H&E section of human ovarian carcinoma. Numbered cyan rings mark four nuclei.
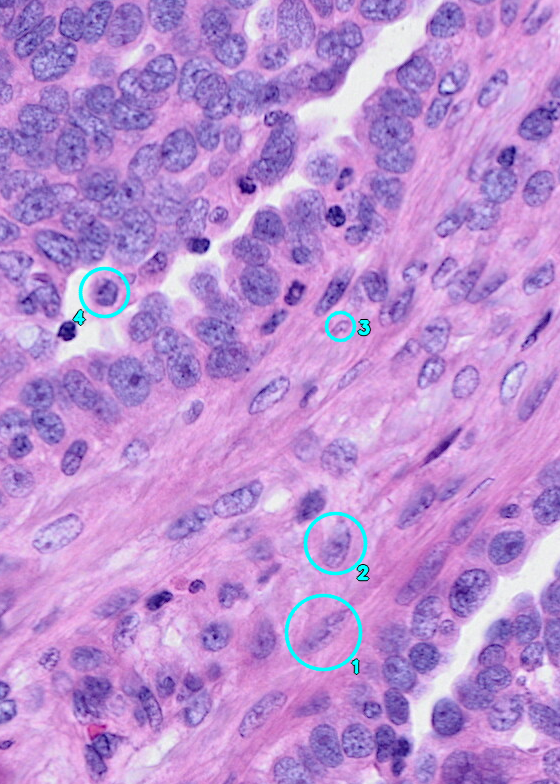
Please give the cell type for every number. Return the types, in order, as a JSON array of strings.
["fibroblast", "fibroblast", "fibroblast", "macrophage or monocyte"]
